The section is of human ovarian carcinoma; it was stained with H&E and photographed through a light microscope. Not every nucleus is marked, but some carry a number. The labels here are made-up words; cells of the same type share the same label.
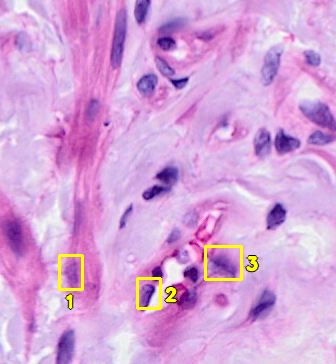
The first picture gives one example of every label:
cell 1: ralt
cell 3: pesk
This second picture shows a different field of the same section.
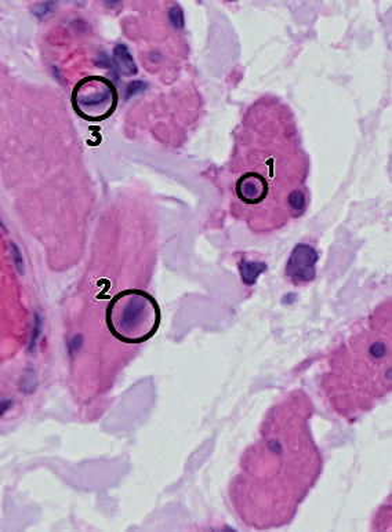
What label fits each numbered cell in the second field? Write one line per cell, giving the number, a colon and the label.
1: ralt
2: ralt
3: pesk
